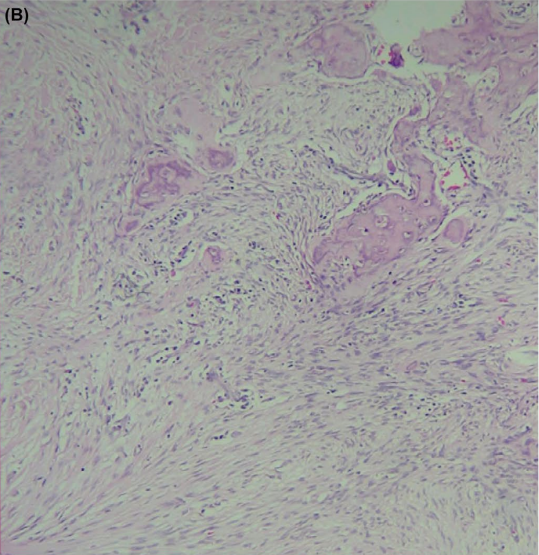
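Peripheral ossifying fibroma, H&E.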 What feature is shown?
Fasciculate pattern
